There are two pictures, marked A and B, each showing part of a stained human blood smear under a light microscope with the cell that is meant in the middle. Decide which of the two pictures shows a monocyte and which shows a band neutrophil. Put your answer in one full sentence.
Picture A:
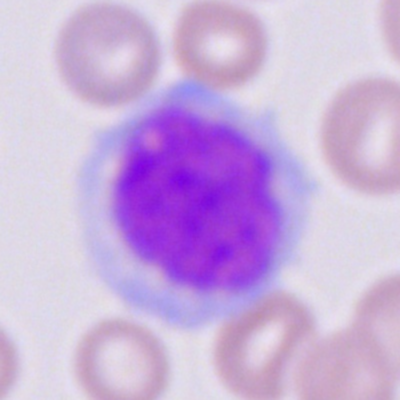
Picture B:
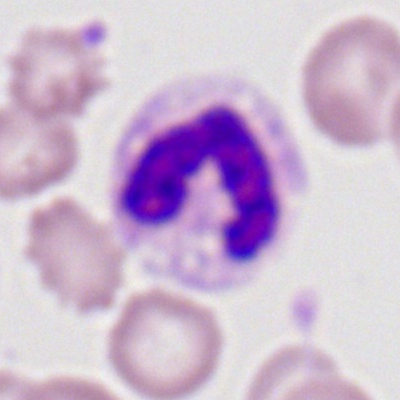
In picture A the cell is a monocyte; in picture B, a band neutrophil.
